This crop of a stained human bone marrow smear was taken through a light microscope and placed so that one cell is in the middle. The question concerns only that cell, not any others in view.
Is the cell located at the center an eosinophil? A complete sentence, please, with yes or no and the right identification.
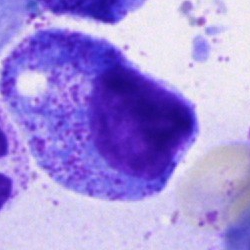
No, the central cell is not an eosinophil, being instead a promyelocyte.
